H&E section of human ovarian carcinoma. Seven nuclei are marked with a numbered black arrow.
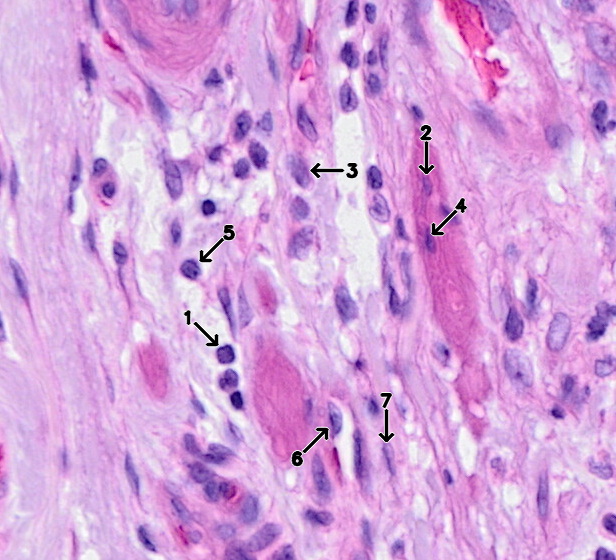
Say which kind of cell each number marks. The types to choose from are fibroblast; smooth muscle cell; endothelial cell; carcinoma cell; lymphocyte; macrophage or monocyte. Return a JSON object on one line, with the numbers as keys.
{"1": "lymphocyte", "2": "smooth muscle cell", "3": "fibroblast", "4": "smooth muscle cell", "5": "lymphocyte", "6": "endothelial cell", "7": "fibroblast"}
